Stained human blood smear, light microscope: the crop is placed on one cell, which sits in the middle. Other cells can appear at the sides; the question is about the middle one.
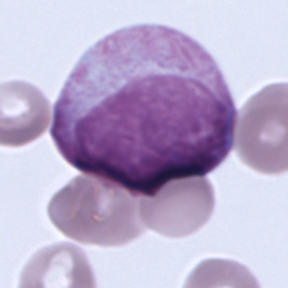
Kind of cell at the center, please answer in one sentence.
Present in the middle of the crop is an atypical promyelocyte.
